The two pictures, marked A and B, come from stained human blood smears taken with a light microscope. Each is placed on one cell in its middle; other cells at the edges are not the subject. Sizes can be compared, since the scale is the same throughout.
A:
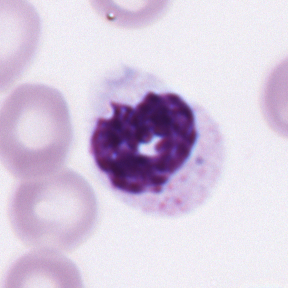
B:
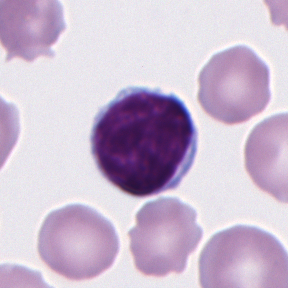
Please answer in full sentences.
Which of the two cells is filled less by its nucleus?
The nucleus fills less of the cell in picture A than in picture B.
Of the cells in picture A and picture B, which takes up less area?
Picture B holds the smaller cell, since the cell in picture A covers about 1.5 times as much area.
